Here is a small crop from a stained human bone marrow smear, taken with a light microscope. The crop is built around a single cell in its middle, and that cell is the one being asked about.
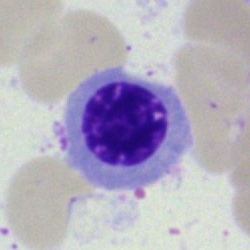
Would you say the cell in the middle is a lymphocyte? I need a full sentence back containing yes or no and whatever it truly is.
No, the centre of the crop is taken up by a normoblast, not a lymphocyte.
